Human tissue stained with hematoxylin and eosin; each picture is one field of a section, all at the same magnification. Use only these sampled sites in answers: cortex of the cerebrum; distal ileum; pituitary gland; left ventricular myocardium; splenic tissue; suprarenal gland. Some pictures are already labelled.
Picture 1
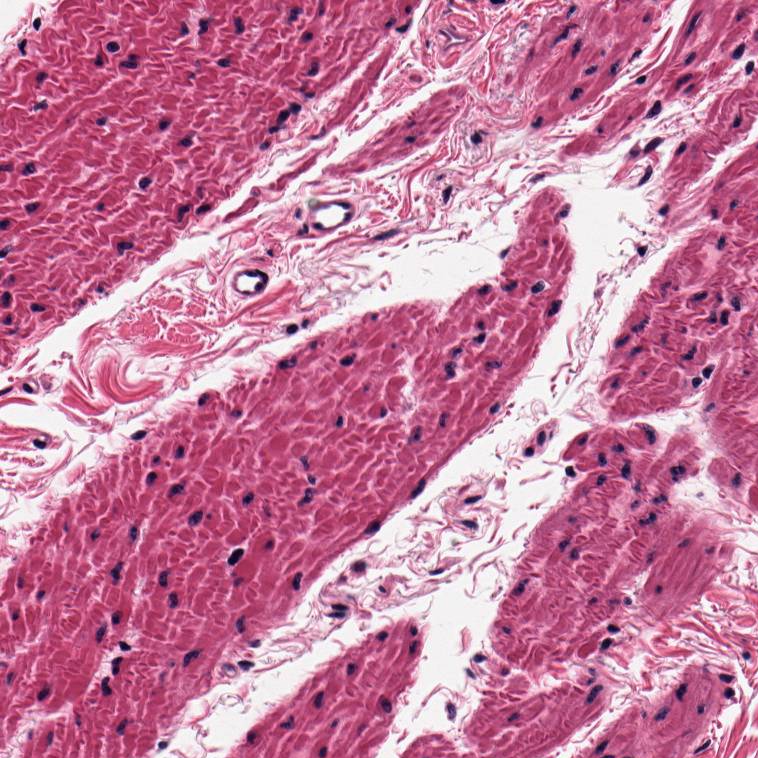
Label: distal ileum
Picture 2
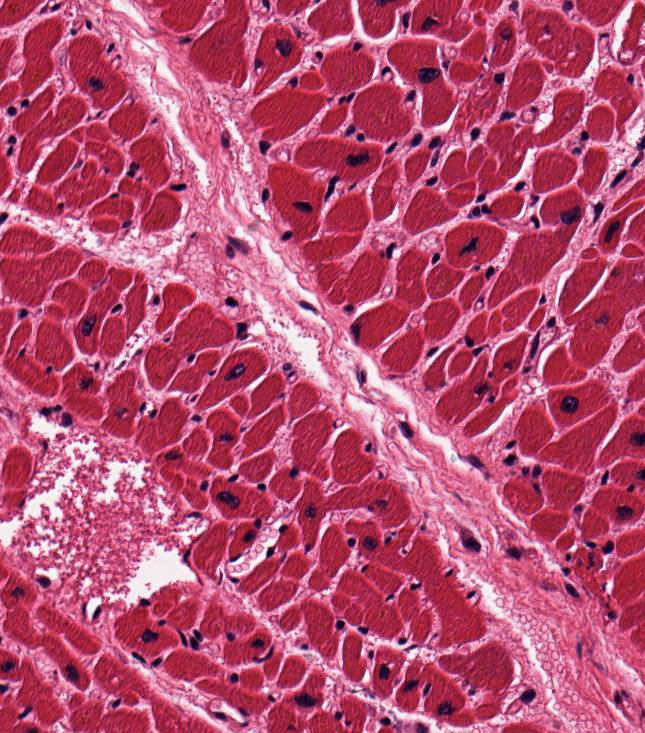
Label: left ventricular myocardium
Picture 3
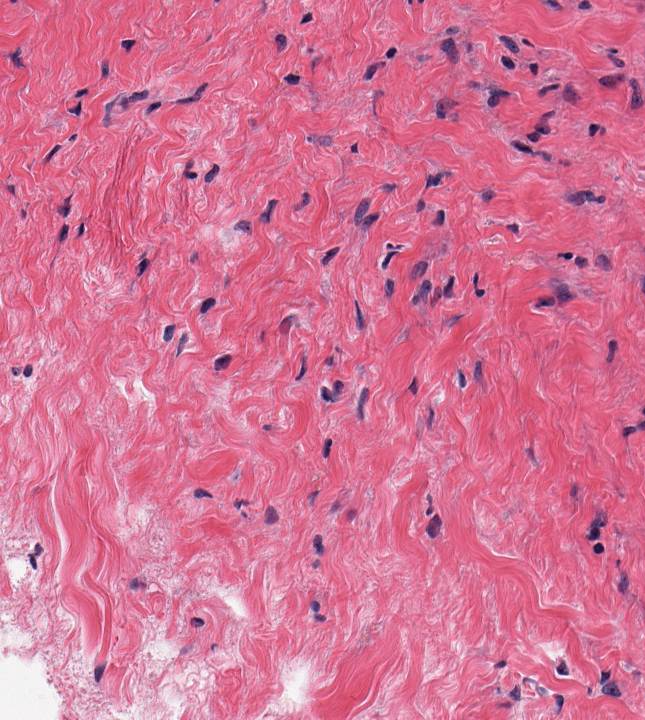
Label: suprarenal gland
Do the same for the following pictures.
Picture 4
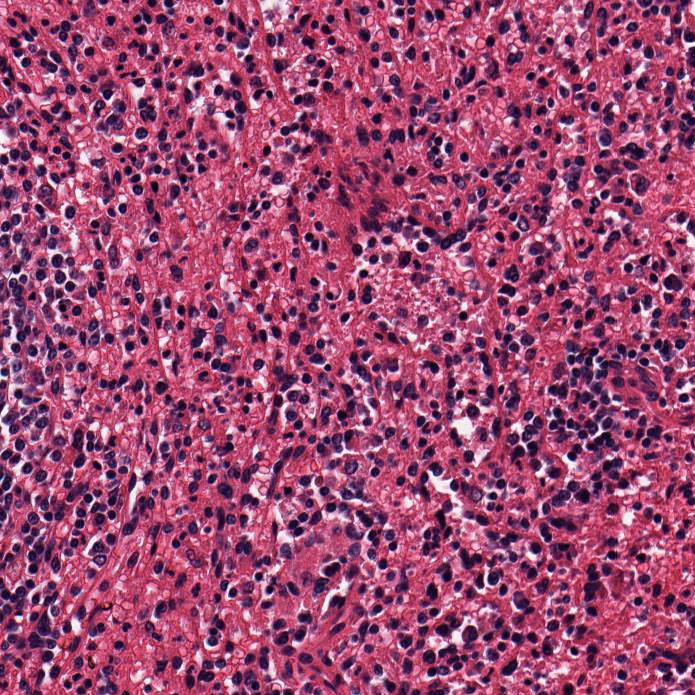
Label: splenic tissue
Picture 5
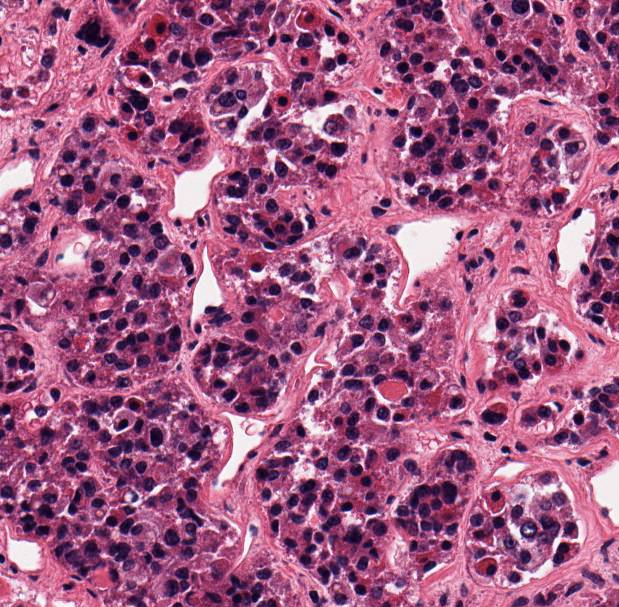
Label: pituitary gland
